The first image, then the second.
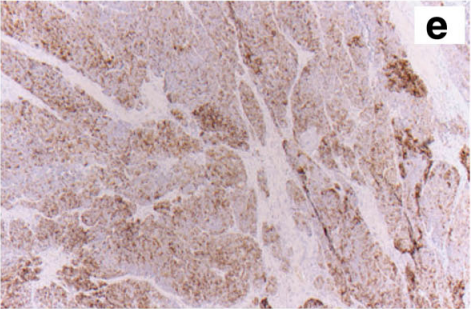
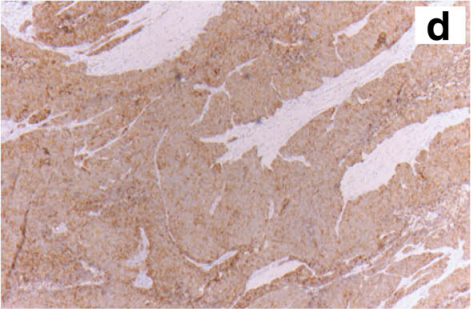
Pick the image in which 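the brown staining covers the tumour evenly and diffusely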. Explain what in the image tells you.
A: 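First image: brown staining is uneven, with darker patches among paler areas. Second image: brown staining is fairly uniform over the tumour sheets. That points to this answer: the second image.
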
